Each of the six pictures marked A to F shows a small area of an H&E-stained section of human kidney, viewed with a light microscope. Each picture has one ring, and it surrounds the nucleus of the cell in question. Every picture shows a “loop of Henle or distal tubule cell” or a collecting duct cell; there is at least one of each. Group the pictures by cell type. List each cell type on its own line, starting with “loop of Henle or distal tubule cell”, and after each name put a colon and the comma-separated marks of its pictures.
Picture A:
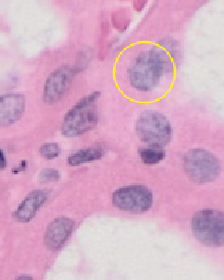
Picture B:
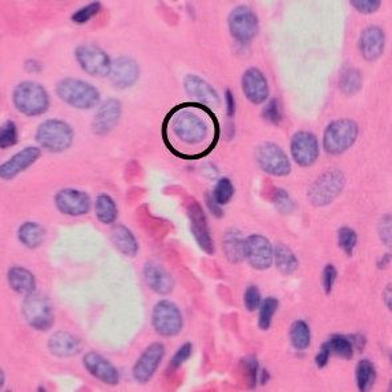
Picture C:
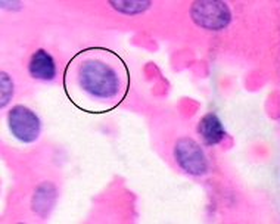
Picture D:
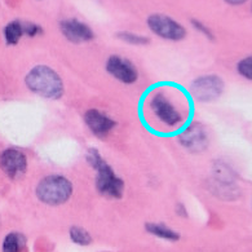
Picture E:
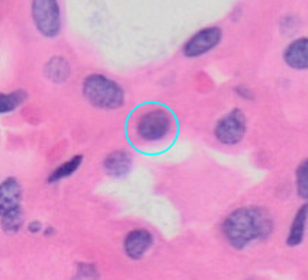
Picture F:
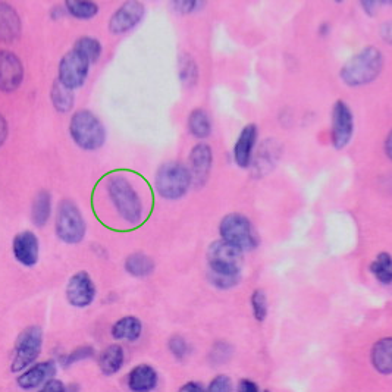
loop of Henle or distal tubule cell: A, E
collecting duct cell: B, C, D, F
